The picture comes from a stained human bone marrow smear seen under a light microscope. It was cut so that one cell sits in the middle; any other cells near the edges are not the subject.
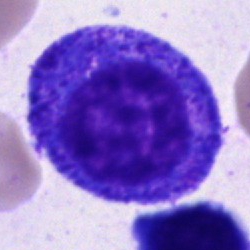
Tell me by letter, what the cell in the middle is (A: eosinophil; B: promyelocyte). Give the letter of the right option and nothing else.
B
